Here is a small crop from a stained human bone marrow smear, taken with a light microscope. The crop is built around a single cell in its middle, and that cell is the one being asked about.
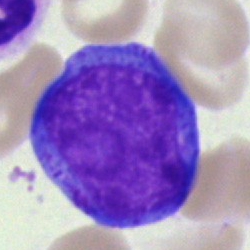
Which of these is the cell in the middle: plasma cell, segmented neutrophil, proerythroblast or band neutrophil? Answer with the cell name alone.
proerythroblast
